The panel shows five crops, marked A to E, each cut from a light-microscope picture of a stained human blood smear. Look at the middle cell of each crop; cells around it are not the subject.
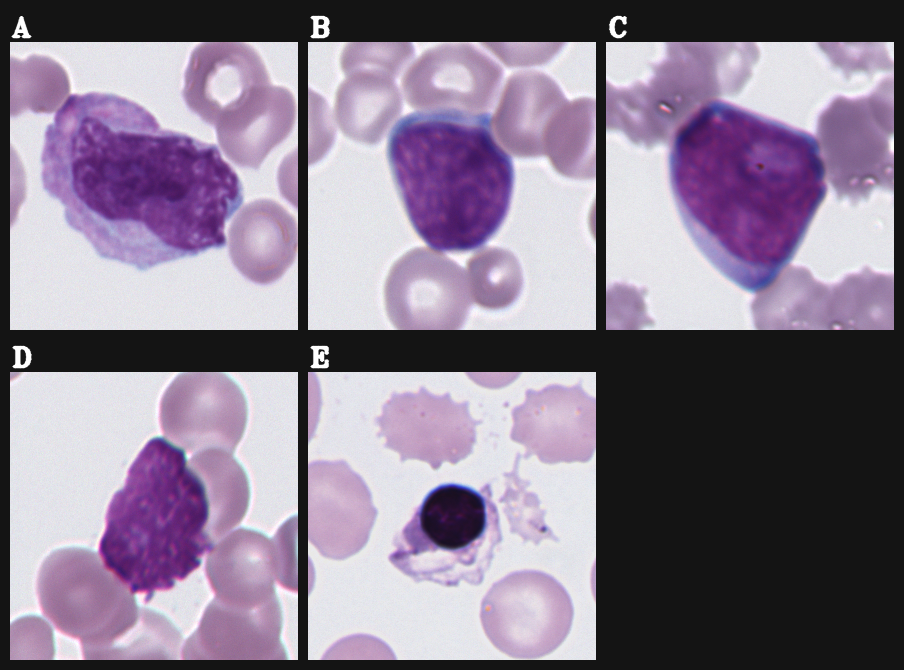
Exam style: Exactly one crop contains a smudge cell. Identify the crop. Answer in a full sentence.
Crop D is where a smudge cell is shown.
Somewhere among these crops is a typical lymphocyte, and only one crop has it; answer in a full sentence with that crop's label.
Crop B is where a typical lymphocyte is to be found.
